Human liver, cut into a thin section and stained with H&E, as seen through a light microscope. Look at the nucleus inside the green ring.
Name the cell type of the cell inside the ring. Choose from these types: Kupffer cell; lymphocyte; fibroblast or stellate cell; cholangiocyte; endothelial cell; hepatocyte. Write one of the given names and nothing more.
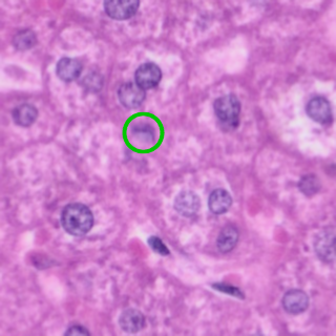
endothelial cell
